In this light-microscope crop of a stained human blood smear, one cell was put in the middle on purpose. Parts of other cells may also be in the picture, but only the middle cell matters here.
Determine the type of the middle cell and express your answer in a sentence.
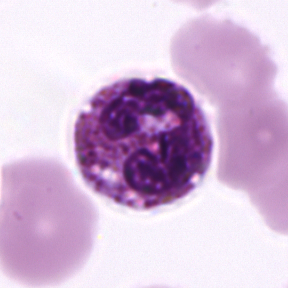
The cell in the middle of the field of view is an eosinophil.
